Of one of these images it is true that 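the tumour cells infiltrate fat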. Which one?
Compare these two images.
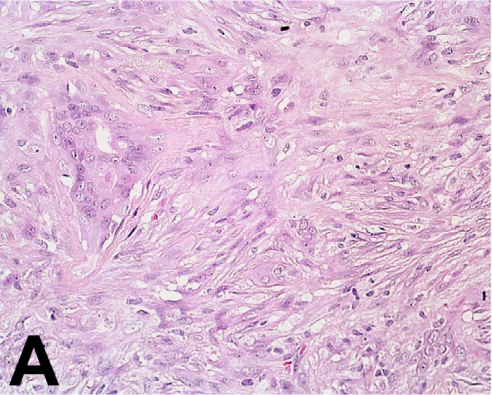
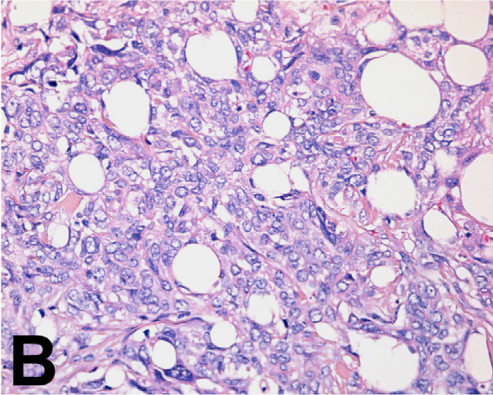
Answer: the second image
